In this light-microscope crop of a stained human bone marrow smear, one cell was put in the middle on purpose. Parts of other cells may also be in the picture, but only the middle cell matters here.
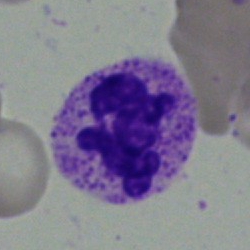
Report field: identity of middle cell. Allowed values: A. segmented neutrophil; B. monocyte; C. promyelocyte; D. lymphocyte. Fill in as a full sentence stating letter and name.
Option A is the correct selection, for the cell at the centre is a segmented neutrophil.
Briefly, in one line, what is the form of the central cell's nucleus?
The nucleus has been partitioned into two or more lobes.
